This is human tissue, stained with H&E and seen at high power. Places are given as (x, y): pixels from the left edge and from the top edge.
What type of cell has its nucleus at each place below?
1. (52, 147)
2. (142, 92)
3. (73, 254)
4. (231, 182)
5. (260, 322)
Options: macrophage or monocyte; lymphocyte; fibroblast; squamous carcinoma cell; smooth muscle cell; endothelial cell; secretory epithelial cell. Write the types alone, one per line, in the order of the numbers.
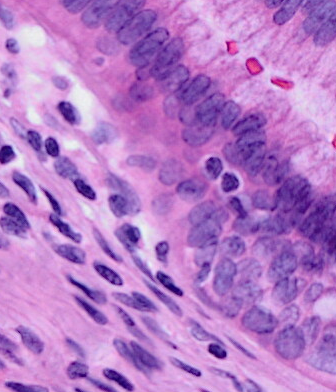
lymphocyte
secretory epithelial cell
fibroblast
secretory epithelial cell
secretory epithelial cell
